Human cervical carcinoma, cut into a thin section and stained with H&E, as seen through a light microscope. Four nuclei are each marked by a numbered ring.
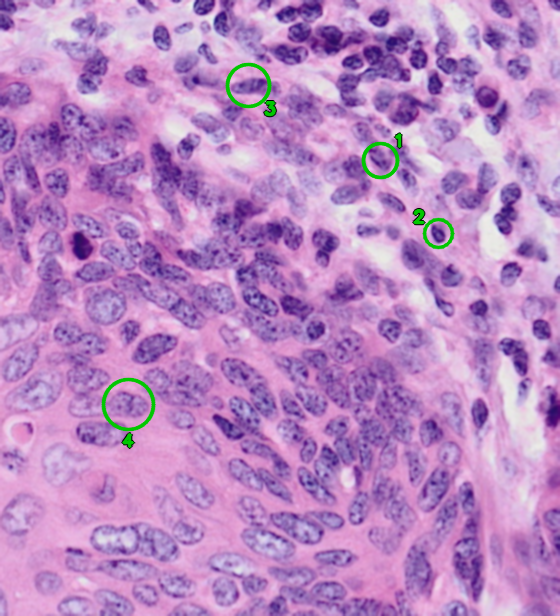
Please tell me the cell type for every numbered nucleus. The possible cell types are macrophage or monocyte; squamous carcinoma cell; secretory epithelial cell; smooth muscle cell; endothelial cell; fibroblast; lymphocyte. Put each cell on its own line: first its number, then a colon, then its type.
1: lymphocyte
2: lymphocyte
3: lymphocyte
4: squamous carcinoma cell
